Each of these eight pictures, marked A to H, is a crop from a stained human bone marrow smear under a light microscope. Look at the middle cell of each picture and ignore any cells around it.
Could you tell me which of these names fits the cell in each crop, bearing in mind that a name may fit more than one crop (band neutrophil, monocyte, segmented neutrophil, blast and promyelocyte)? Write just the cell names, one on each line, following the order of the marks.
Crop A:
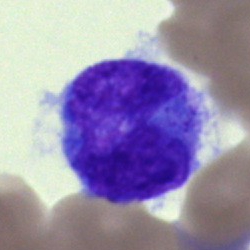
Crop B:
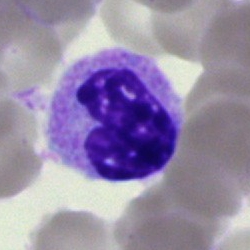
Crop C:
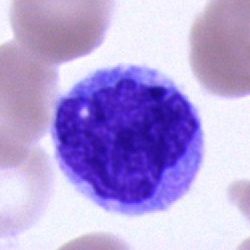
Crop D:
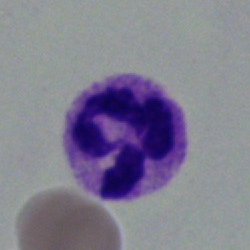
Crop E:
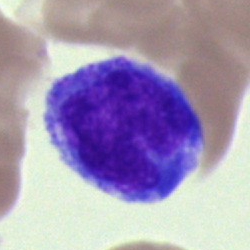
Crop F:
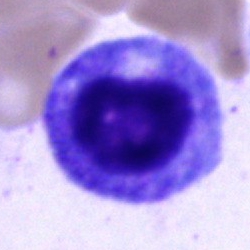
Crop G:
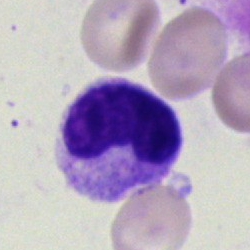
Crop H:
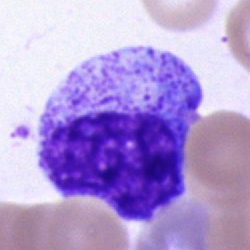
monocyte
band neutrophil
monocyte
segmented neutrophil
monocyte
promyelocyte
band neutrophil
promyelocyte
